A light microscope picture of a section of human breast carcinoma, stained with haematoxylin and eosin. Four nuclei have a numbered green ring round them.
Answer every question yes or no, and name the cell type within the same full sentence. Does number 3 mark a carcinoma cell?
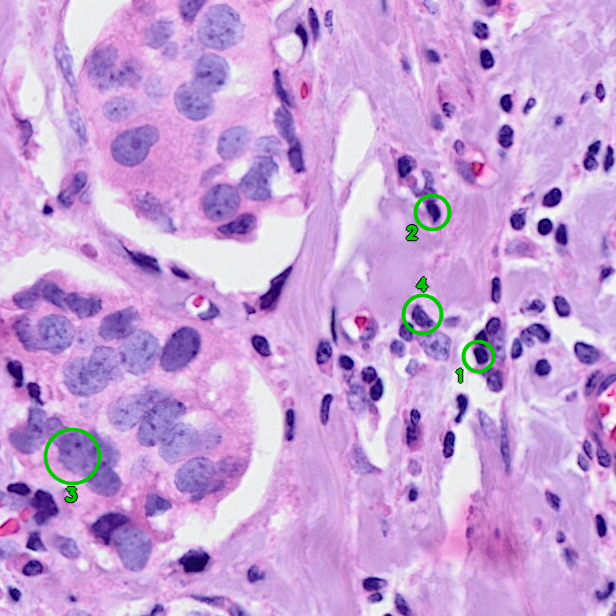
Yes, the cell that bears the number 3 is a carcinoma cell.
